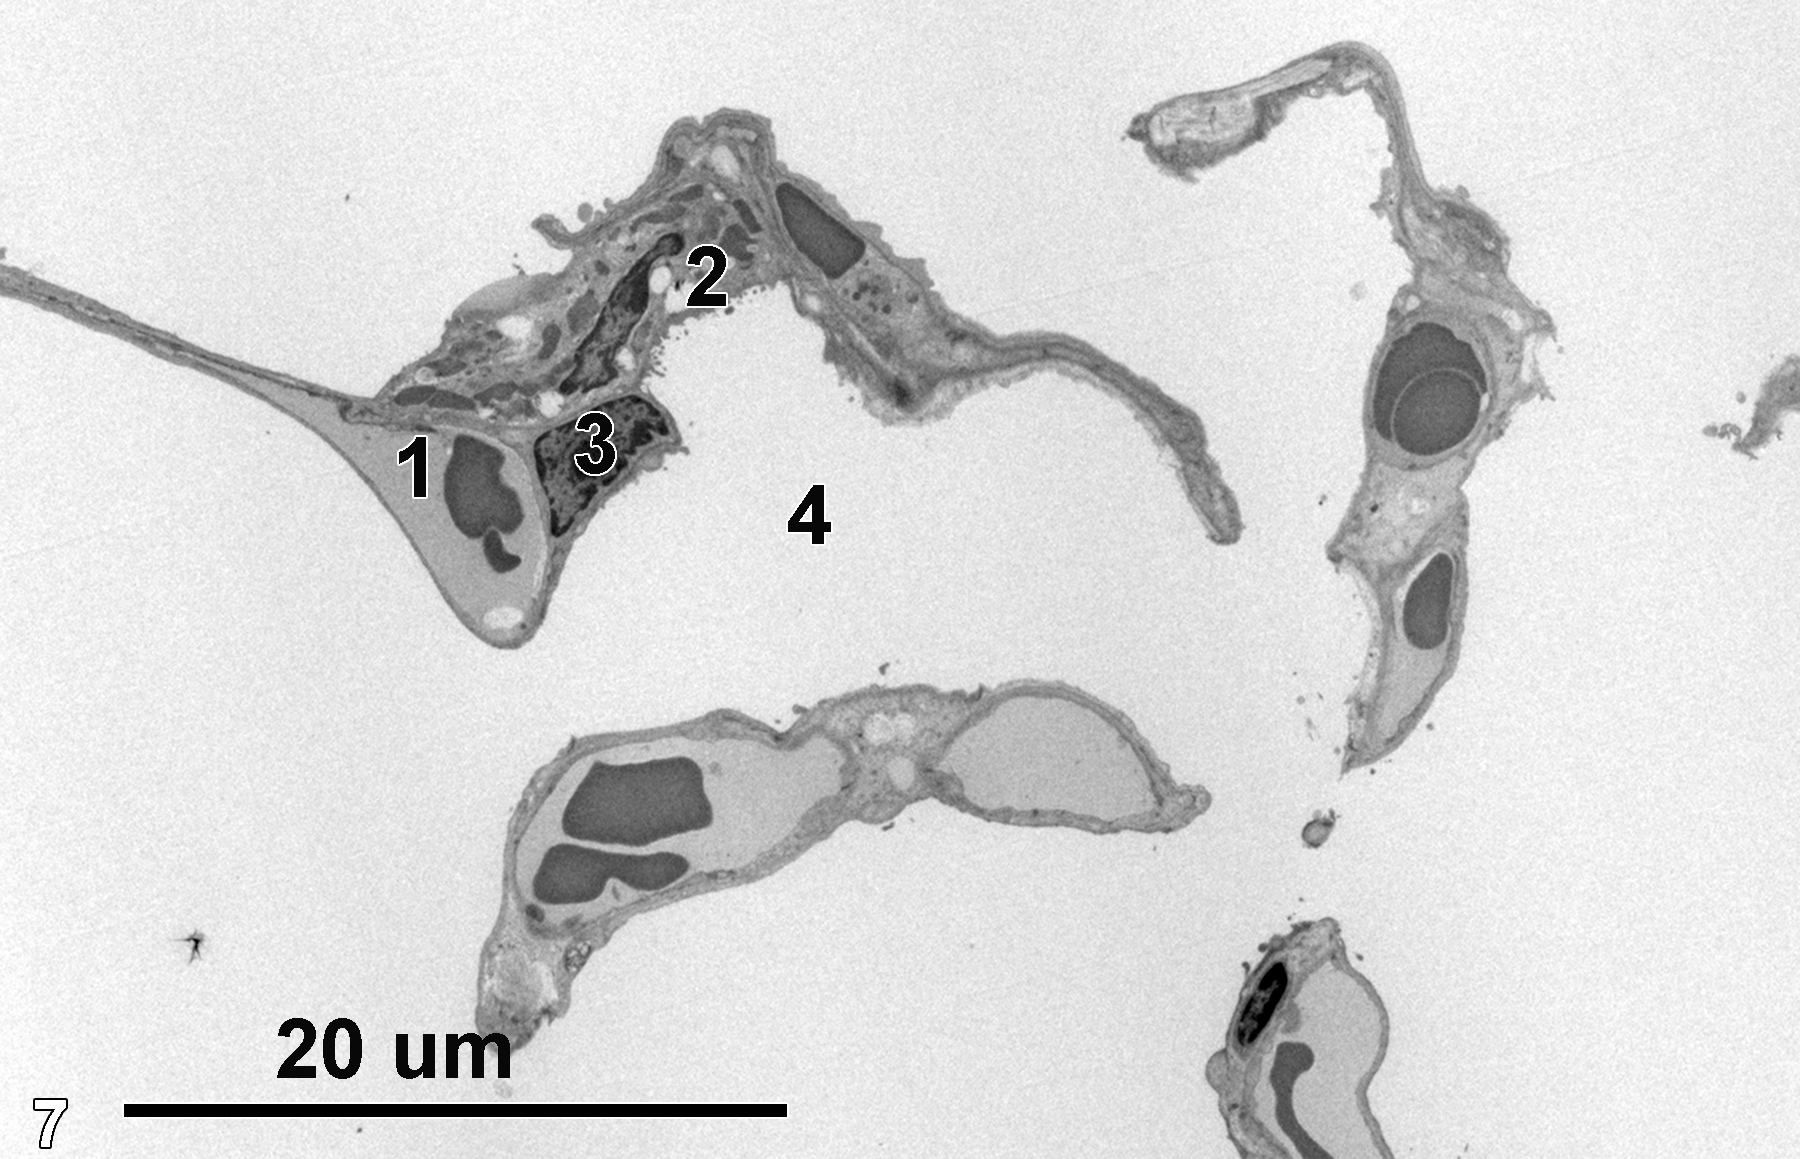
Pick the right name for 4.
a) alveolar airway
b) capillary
a) alveolar airway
